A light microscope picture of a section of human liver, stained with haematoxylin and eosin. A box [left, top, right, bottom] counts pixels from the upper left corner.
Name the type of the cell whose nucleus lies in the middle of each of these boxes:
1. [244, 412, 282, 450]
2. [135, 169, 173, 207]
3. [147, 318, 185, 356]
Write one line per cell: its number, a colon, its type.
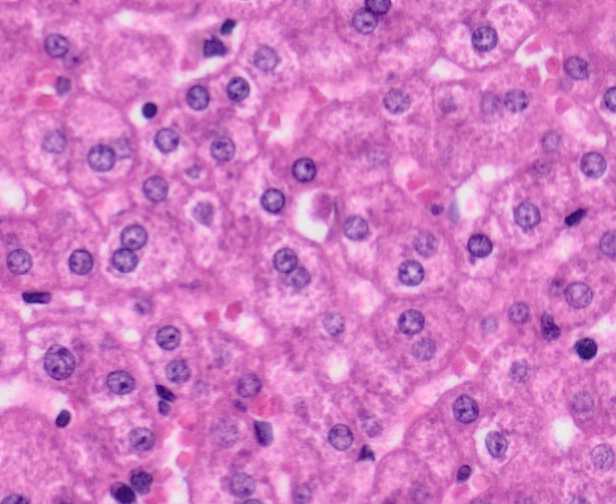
1: endothelial cell
2: hepatocyte
3: hepatocyte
